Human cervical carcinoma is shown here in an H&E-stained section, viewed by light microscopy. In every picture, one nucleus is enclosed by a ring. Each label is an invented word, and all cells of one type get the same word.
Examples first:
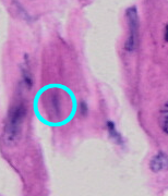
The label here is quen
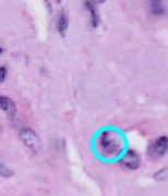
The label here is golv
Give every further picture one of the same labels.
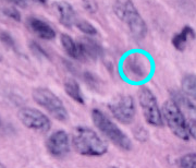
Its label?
quen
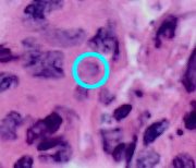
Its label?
quen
